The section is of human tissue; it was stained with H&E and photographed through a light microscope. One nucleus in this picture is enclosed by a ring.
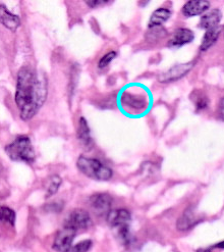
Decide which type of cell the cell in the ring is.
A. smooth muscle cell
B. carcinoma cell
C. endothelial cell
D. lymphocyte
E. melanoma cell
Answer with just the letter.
E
